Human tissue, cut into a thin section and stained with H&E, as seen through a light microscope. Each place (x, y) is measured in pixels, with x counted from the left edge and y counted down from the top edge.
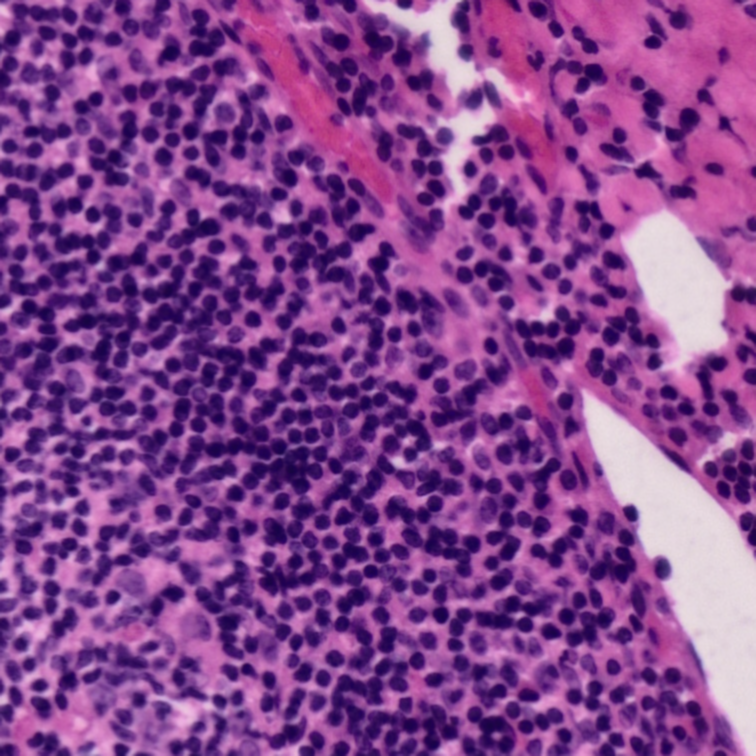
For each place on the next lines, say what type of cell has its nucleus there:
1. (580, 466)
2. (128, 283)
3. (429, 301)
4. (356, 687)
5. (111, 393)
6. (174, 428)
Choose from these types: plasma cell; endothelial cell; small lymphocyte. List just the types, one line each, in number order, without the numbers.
endothelial cell
small lymphocyte
endothelial cell
small lymphocyte
small lymphocyte
small lymphocyte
